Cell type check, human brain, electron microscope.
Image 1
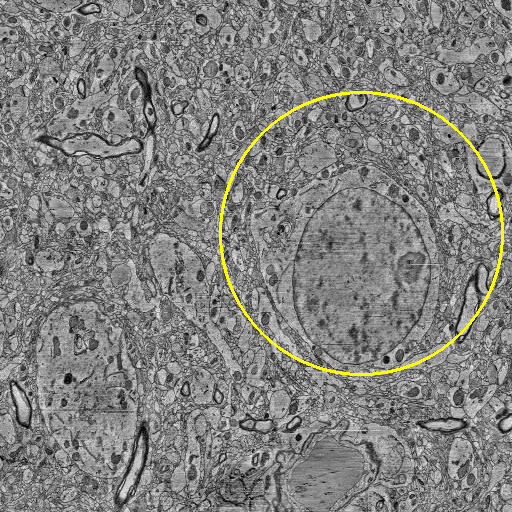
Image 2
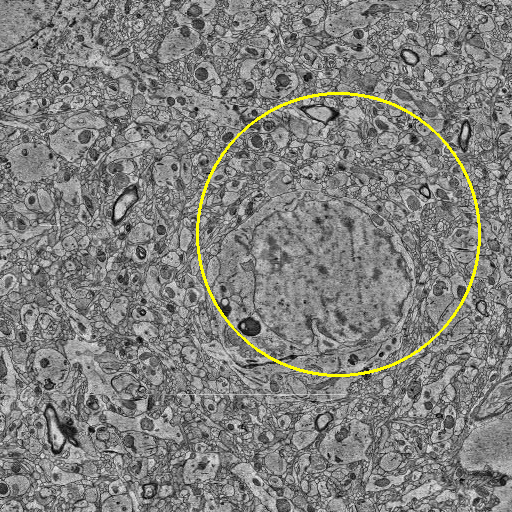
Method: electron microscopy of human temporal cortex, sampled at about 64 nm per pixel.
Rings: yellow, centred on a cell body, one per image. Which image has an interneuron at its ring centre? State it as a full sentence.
The ring in Image 2 is centred on it.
